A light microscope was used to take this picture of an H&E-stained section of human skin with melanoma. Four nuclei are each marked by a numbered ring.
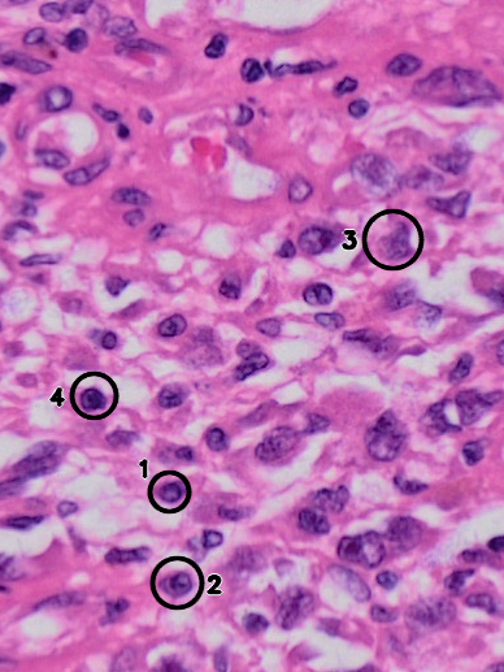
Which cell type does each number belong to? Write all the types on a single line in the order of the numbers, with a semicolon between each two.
macrophage or monocyte; macrophage or monocyte; melanoma cell; lymphocyte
